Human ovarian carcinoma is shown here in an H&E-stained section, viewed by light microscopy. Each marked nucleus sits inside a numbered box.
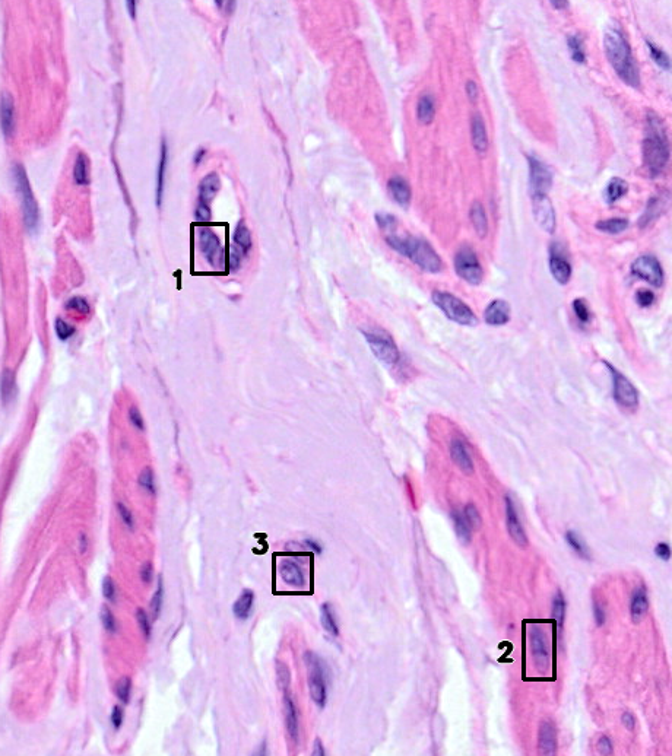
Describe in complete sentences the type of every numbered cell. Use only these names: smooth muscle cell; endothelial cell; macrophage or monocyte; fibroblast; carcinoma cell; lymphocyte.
Cell 1 is an endothelial cell, cell 2 is a smooth muscle cell and cell 3 is an endothelial cell.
